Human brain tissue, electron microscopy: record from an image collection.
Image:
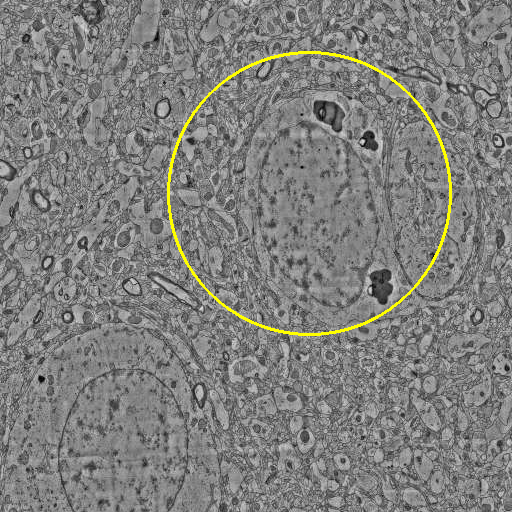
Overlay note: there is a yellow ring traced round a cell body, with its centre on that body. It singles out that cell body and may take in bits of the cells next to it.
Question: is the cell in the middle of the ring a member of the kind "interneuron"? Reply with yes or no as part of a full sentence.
Yes, the image's ringed cell, the one at the ring's centre, is a member of that kind.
